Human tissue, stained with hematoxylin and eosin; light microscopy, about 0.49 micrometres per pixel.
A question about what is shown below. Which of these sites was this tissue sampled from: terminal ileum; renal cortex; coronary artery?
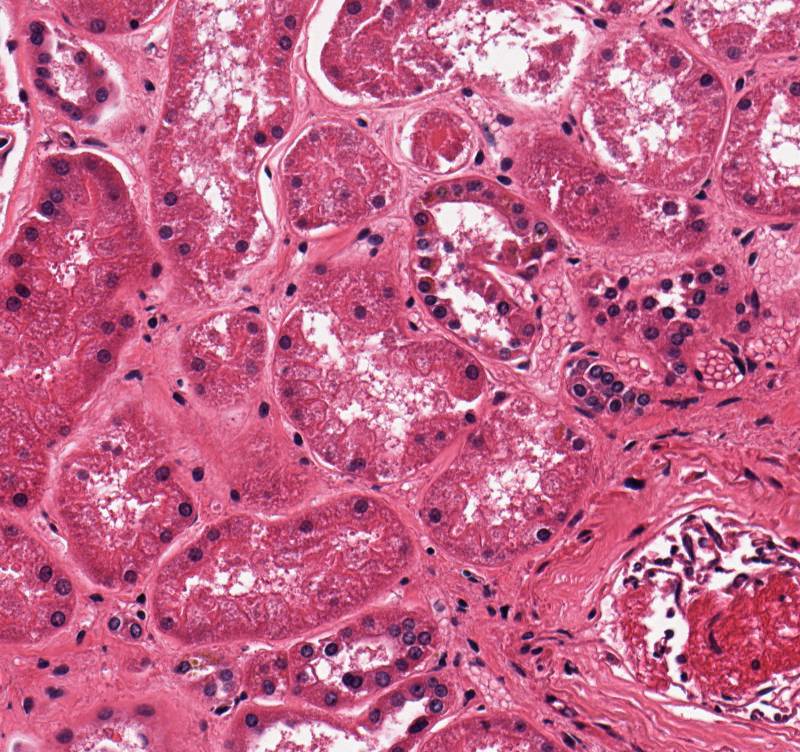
renal cortex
